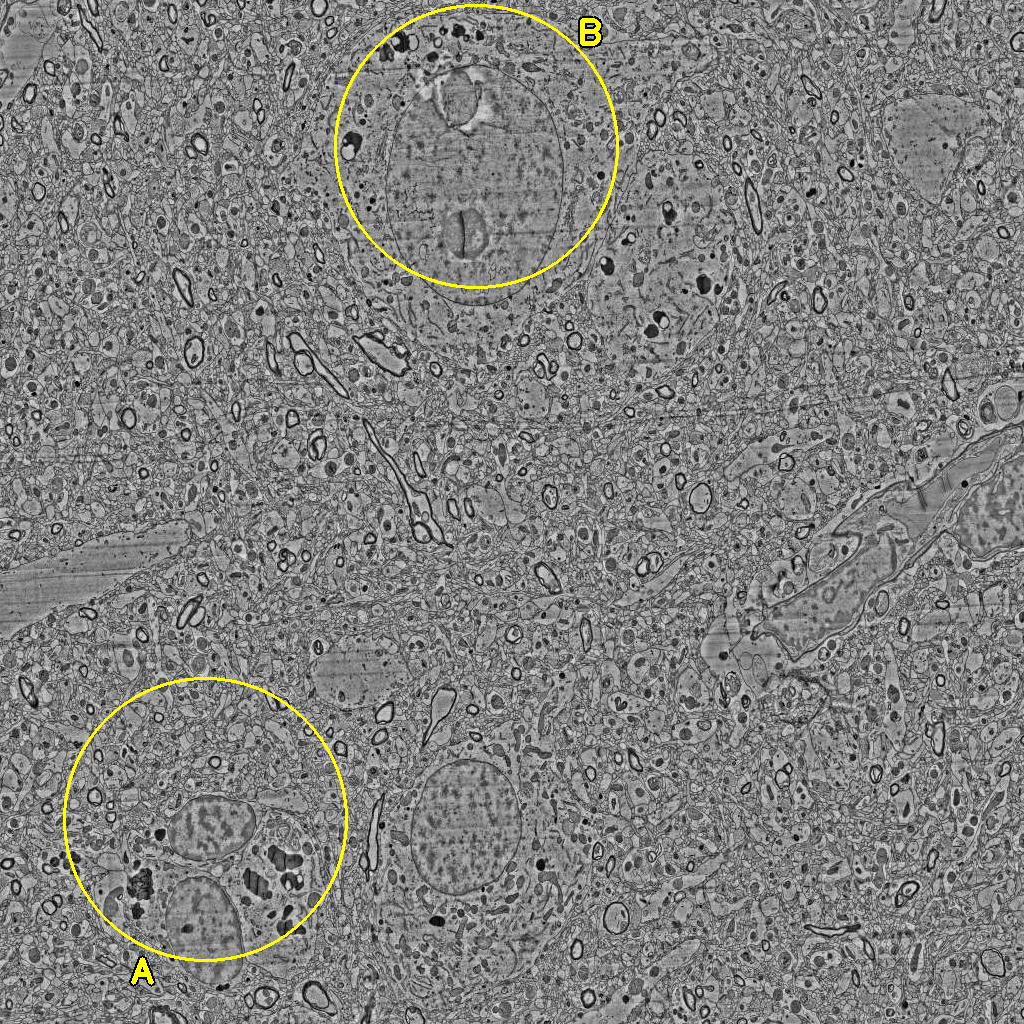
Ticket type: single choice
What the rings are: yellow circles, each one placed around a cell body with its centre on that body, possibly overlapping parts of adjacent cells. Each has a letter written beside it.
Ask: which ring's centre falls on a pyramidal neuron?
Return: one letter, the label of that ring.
B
